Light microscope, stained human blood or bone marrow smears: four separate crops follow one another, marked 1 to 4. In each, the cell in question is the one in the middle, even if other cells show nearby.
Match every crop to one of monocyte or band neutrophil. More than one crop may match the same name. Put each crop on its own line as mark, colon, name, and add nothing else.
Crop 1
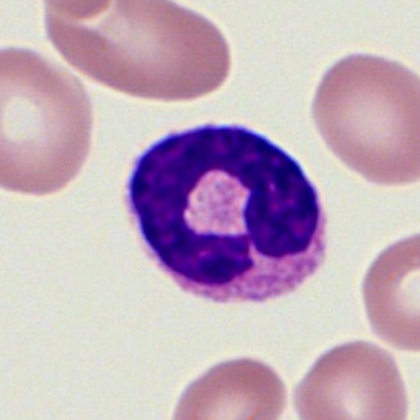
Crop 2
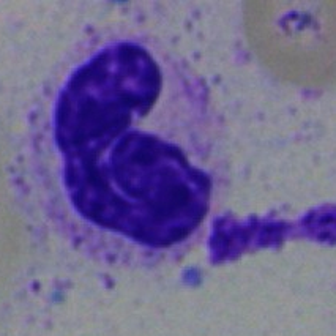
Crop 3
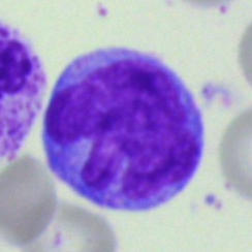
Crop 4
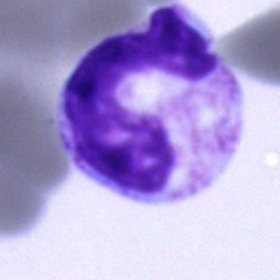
1: band neutrophil
2: band neutrophil
3: monocyte
4: band neutrophil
